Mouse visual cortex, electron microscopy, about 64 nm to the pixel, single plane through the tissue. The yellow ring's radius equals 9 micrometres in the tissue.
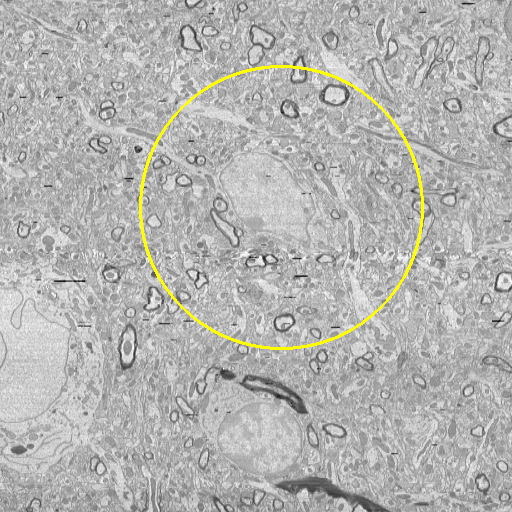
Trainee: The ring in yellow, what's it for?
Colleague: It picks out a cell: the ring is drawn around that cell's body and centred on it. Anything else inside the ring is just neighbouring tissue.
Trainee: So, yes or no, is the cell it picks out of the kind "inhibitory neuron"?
no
